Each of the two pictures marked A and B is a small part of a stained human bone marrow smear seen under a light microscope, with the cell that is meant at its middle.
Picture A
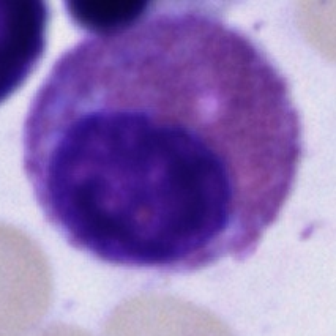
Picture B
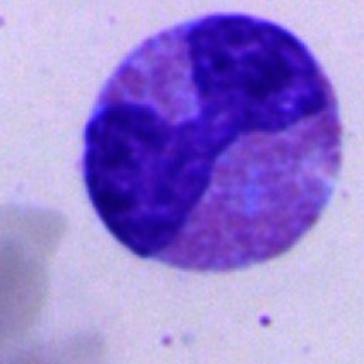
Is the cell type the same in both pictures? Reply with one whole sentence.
Yes, both are eosinophils.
